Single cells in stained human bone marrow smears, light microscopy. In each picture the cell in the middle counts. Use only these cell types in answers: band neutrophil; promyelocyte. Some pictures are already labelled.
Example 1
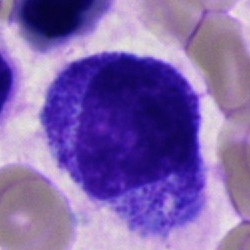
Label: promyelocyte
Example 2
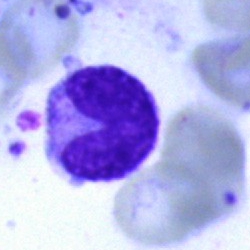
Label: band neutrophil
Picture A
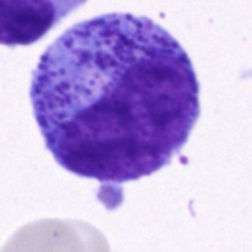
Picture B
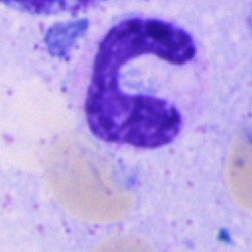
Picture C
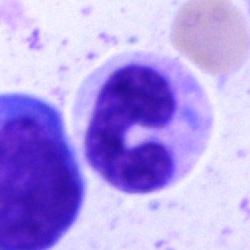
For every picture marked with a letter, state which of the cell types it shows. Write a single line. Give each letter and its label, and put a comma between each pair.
A promyelocyte, B band neutrophil, C band neutrophil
